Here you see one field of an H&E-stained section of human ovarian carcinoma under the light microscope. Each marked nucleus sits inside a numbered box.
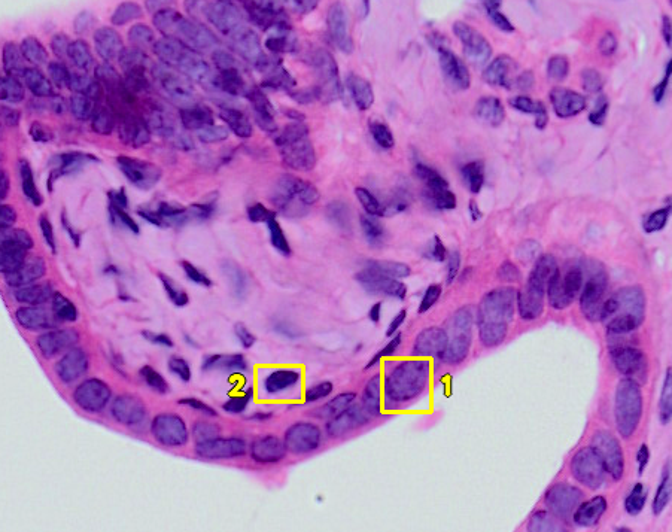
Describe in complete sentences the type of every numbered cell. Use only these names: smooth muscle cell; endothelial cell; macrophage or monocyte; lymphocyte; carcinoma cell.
Cell 1 is a carcinoma cell. Cell 2 is a lymphocyte.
